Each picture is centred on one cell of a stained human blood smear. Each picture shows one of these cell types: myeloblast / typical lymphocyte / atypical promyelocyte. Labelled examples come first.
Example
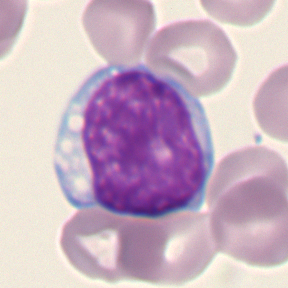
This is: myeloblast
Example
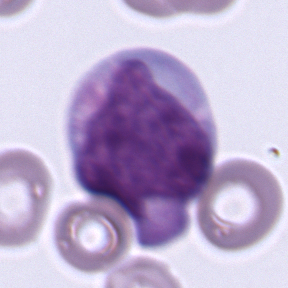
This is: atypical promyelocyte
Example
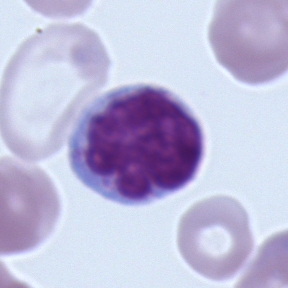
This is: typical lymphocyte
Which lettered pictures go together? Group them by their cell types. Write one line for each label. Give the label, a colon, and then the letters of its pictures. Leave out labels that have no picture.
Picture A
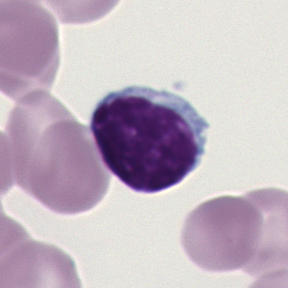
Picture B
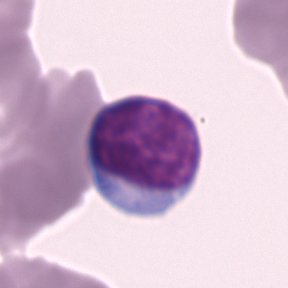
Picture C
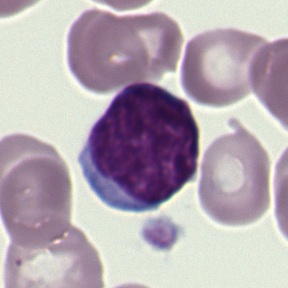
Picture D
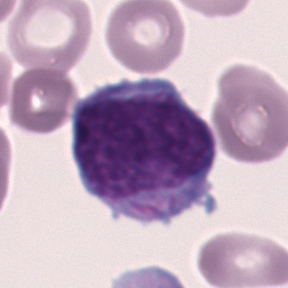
typical lymphocyte: A, B, C
atypical promyelocyte: D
